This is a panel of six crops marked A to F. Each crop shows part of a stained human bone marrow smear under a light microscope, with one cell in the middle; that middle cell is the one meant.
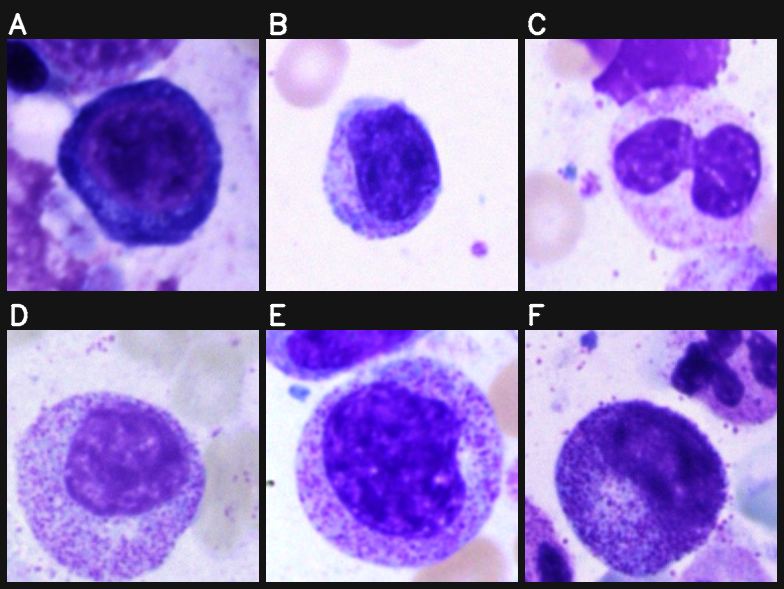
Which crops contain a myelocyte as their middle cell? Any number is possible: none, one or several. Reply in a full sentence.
The middle cells of crops B, D, E and F are myelocytes.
